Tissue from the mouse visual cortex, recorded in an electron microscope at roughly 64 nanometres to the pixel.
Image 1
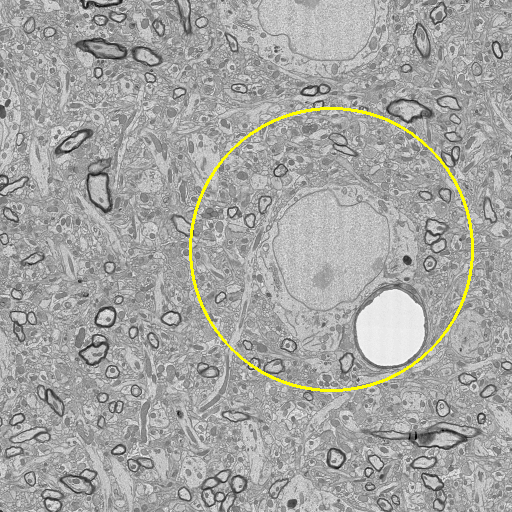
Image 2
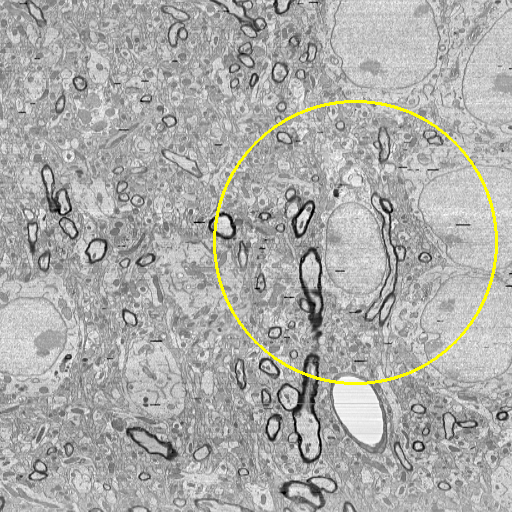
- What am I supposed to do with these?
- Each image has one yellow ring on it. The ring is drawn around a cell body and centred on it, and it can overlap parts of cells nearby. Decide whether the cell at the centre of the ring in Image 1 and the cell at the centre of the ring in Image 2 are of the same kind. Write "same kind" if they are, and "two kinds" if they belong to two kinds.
two kinds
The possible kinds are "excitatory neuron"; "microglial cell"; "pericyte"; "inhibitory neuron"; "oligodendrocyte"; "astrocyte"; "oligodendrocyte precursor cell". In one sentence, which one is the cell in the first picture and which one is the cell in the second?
The cell ringed in the second picture is an astrocyte, whereas the one ringed in the first is an excitatory neuron.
